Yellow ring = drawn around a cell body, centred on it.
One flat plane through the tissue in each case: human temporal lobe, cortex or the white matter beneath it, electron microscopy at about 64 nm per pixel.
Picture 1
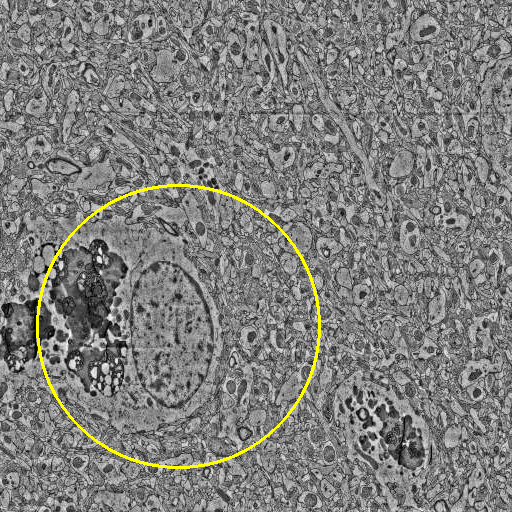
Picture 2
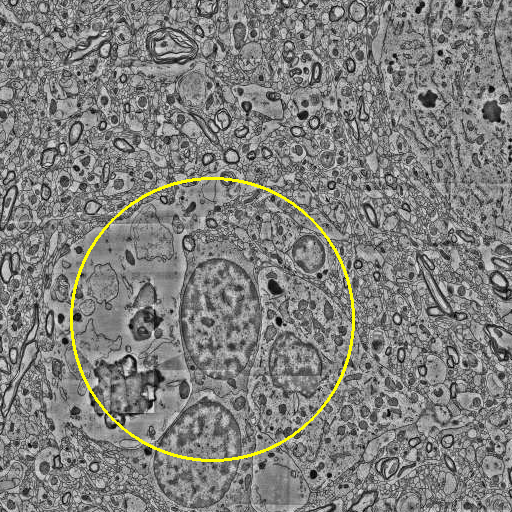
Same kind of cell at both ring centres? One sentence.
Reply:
No, they are two kinds of cell.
